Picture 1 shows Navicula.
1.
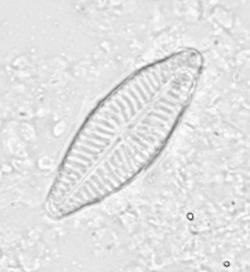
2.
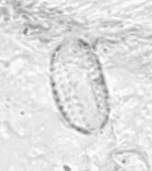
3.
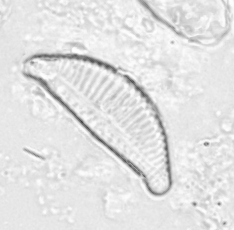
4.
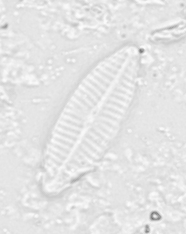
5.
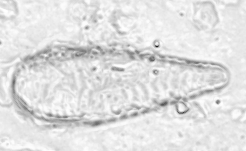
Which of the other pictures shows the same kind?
Picture 4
